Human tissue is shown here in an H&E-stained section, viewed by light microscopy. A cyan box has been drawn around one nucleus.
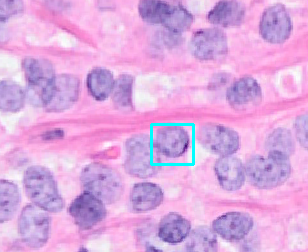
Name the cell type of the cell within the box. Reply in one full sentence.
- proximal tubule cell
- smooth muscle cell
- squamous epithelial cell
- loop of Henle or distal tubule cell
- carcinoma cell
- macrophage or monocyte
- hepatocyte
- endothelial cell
As classified here, the cell within the box is a carcinoma cell.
